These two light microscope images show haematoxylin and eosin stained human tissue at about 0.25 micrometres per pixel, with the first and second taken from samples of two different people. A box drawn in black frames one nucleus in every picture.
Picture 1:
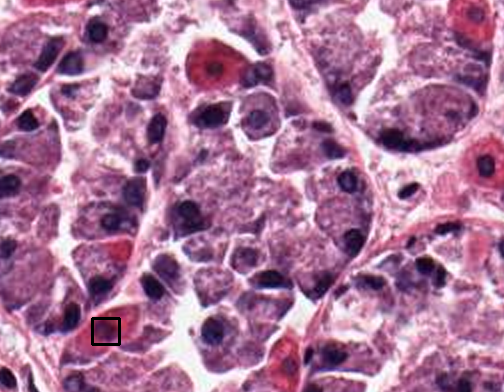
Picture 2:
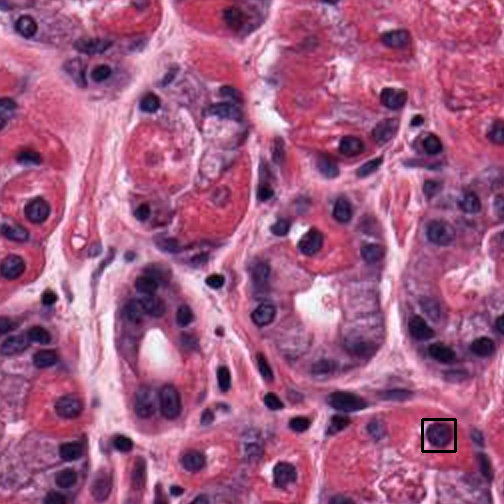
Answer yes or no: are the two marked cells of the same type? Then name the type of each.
Yes, both are parietal cells.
